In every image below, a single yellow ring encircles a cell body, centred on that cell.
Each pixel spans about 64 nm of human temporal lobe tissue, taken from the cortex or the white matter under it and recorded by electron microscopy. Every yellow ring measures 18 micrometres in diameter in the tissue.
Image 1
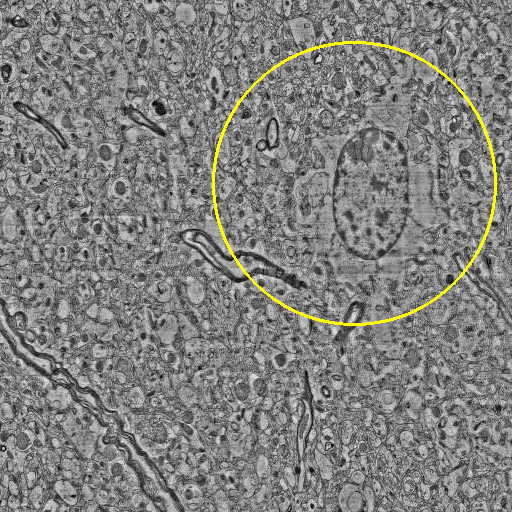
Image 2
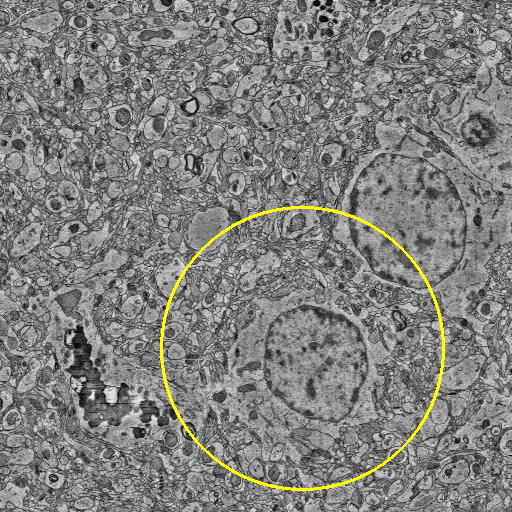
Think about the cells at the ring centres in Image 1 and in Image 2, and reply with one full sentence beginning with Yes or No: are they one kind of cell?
Yes, the cells centred in the rings of Image 1 and Image 2 are one kind of cell.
